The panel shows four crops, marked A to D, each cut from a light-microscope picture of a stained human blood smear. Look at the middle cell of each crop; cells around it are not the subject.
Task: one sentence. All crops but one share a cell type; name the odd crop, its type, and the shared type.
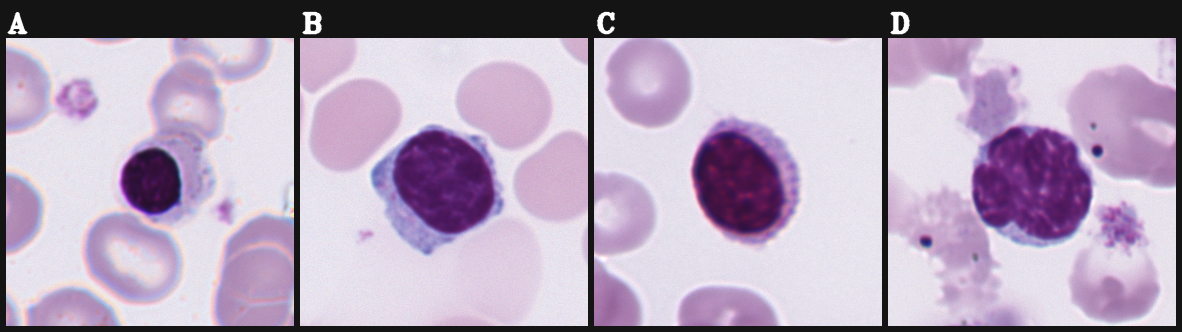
Crop A differs, its cell being a normoblast, whereas the other crops show typical lymphocytes.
